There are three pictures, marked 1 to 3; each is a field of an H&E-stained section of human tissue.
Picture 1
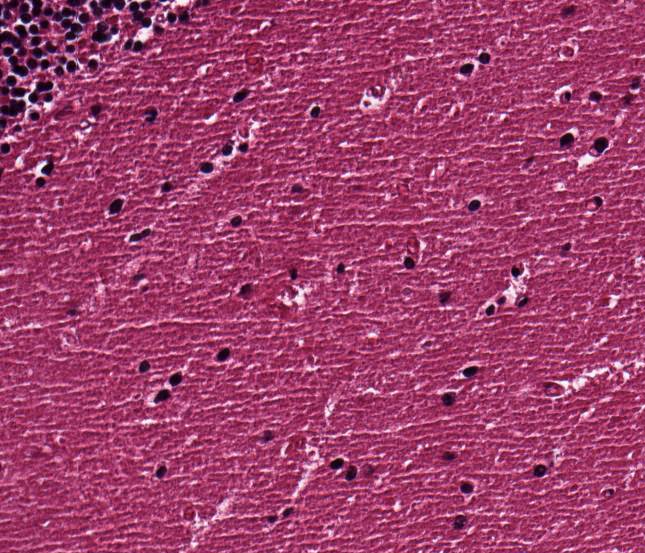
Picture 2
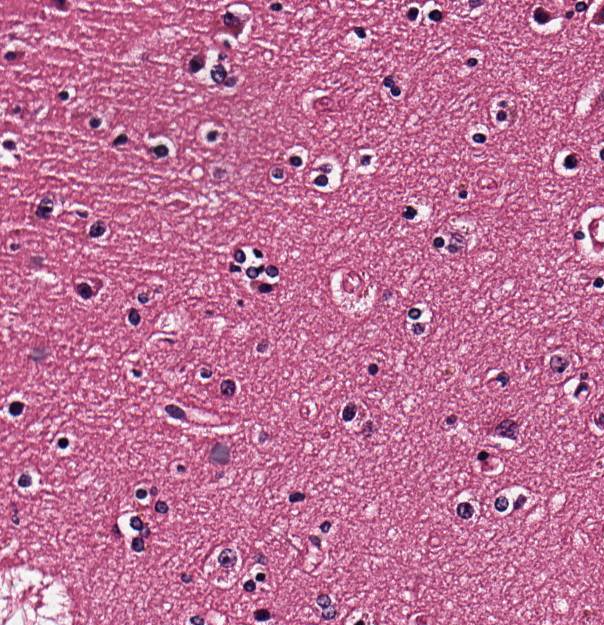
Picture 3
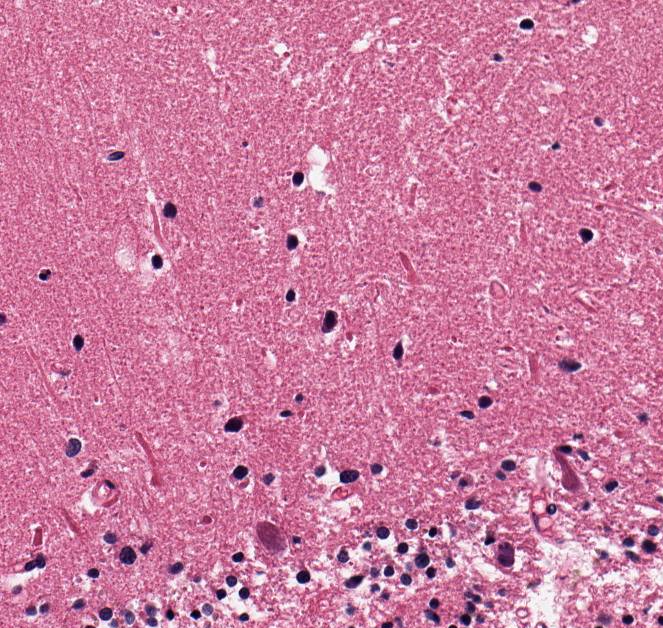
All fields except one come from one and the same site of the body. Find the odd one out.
2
